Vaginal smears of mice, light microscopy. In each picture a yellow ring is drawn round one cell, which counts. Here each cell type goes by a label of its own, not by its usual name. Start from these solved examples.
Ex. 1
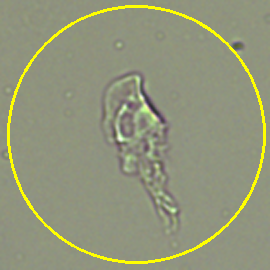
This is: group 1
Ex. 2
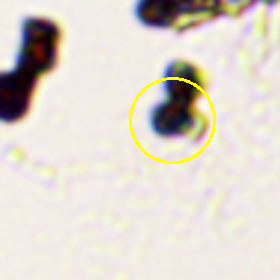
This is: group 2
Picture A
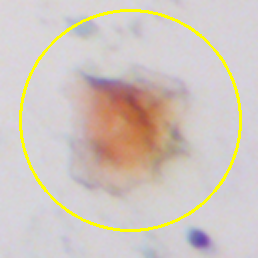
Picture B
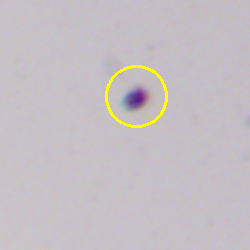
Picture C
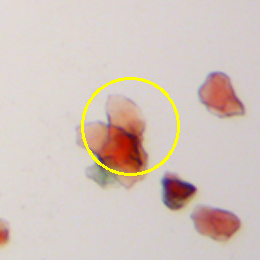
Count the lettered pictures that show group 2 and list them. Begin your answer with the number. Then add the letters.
1: B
